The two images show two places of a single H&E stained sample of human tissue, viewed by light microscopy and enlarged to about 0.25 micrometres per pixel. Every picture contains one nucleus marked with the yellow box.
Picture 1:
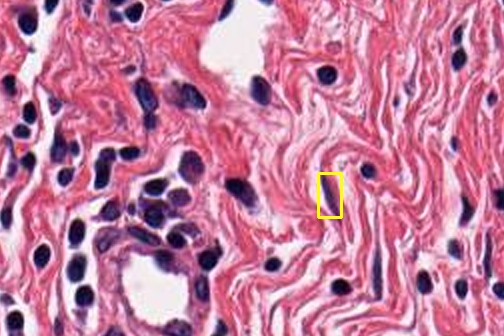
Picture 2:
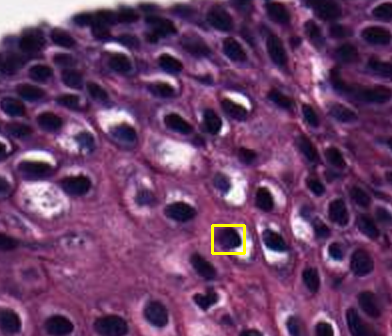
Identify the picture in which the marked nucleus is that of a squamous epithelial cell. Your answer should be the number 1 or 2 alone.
2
